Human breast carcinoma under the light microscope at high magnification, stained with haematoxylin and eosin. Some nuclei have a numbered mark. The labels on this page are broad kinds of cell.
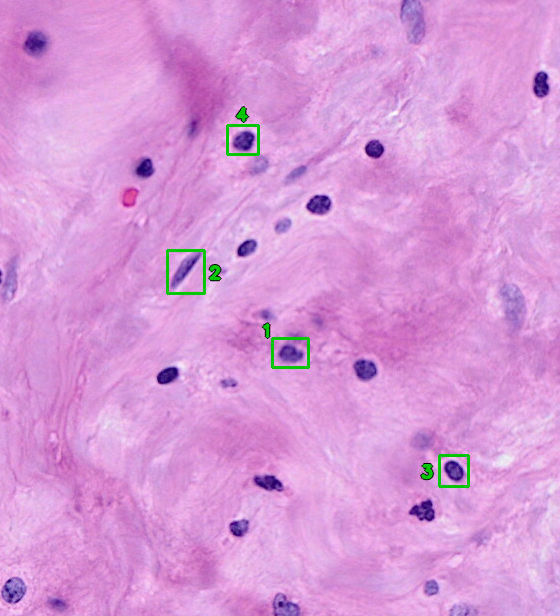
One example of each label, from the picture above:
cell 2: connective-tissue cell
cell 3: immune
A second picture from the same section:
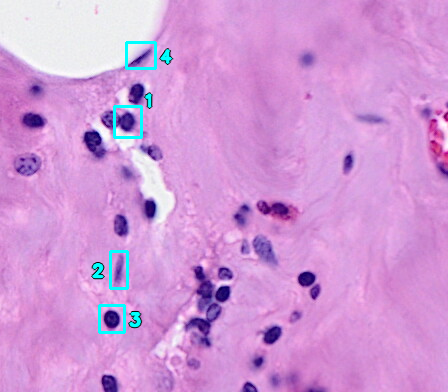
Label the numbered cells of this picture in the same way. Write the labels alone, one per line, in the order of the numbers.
immune
connective-tissue cell
immune
connective-tissue cell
